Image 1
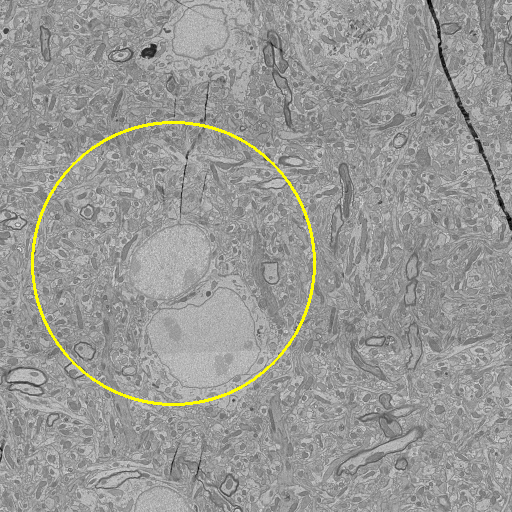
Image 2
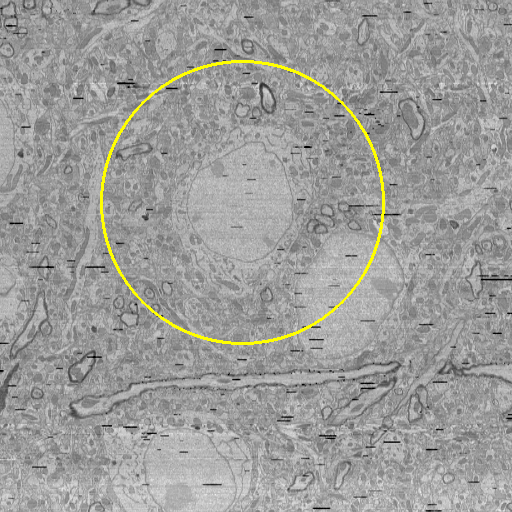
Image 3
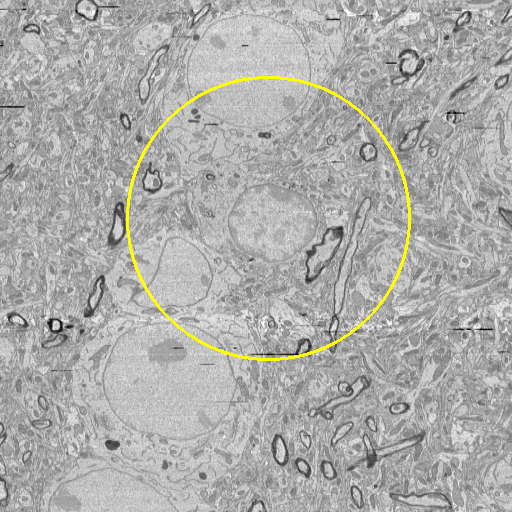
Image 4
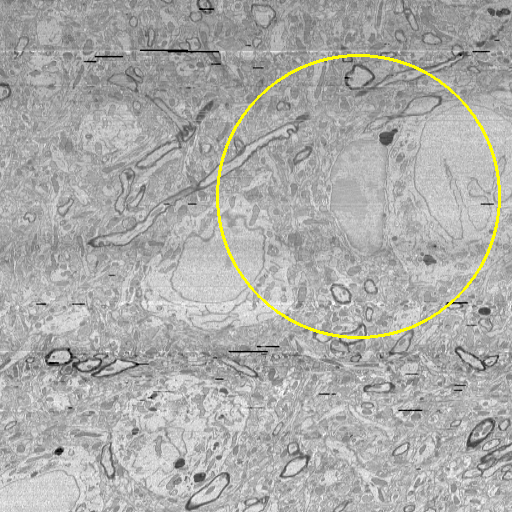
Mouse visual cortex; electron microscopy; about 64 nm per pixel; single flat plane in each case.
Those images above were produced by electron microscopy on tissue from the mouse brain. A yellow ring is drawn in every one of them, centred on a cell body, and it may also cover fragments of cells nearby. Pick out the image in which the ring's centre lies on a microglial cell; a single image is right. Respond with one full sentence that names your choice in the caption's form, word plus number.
Image 4 is my choice: its ring is centred on the requested cell.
